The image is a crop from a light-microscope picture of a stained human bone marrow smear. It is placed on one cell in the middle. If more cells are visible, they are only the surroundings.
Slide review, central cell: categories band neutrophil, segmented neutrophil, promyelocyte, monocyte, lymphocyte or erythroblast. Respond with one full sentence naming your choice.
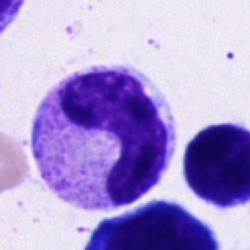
The cell of interest, located centrally, is a band neutrophil.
